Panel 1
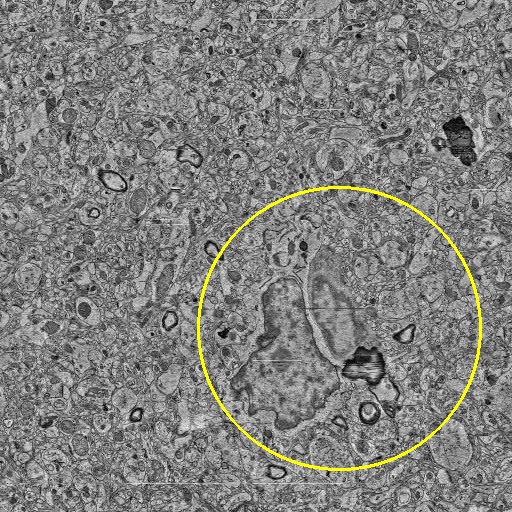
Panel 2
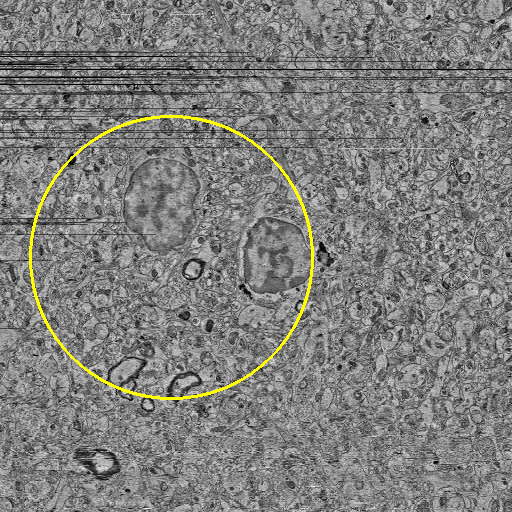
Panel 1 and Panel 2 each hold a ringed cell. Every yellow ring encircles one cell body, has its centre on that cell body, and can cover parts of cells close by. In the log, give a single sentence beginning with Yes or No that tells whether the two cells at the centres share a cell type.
Yes, in Panel 1 and Panel 2 the centred cells share a cell type.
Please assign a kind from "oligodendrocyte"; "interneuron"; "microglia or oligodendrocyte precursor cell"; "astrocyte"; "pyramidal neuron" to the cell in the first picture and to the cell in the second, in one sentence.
In each picture the ringed cell is an oligodendrocyte.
